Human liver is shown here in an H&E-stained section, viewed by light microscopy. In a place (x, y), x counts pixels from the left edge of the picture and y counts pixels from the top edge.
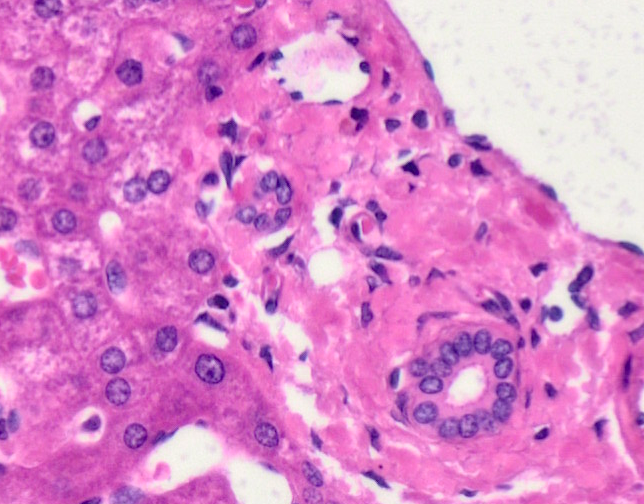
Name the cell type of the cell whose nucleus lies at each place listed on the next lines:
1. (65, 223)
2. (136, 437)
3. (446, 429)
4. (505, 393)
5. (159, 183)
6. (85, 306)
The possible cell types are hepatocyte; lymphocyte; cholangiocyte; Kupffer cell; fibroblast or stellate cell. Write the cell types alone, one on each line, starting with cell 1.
hepatocyte
hepatocyte
cholangiocyte
cholangiocyte
hepatocyte
hepatocyte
